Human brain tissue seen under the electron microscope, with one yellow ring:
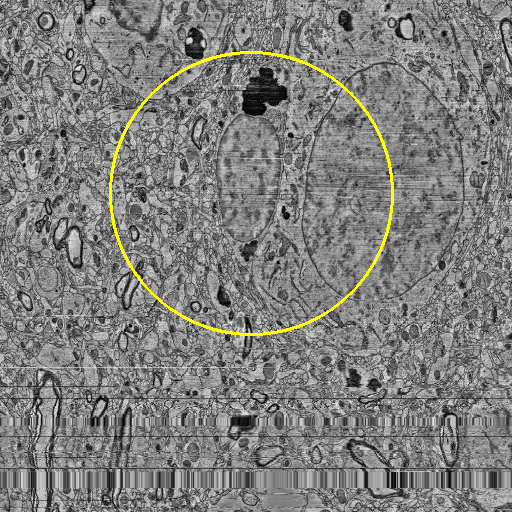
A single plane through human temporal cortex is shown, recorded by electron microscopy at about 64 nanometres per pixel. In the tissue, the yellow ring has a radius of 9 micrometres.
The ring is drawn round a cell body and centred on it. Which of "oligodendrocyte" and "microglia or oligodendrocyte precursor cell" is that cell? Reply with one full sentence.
The picture shows an oligodendrocyte at the very centre of the yellow ring.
